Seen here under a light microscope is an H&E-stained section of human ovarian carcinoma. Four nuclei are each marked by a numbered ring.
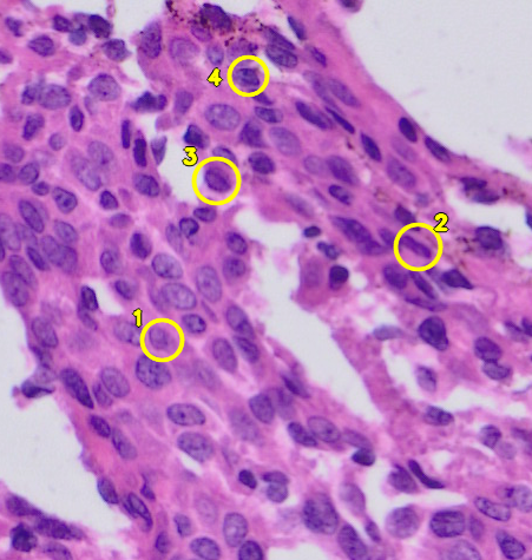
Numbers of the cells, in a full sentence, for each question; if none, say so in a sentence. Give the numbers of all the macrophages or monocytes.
Cell 4 is a macrophage or monocyte; every other numbered cell is something else.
